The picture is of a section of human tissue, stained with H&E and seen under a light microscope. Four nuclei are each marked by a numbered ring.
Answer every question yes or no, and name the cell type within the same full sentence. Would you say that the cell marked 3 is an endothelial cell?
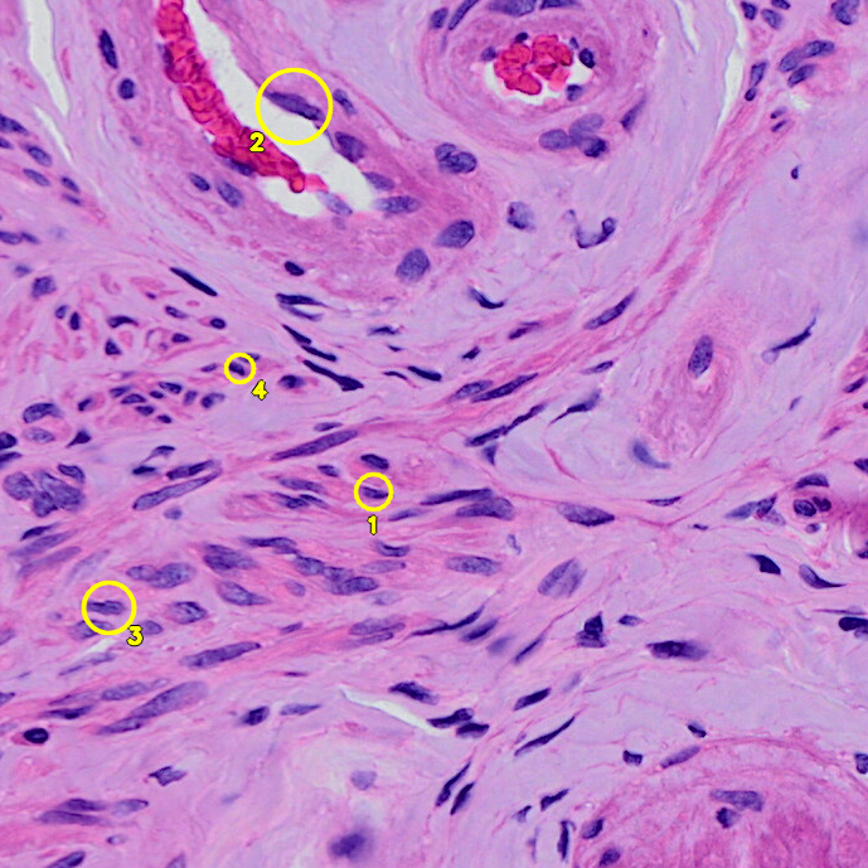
No, number 3 corresponds to a smooth muscle cell, not an endothelial cell.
